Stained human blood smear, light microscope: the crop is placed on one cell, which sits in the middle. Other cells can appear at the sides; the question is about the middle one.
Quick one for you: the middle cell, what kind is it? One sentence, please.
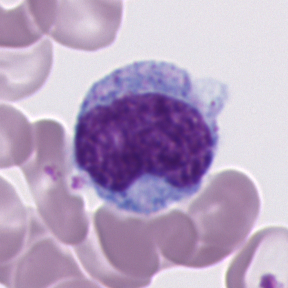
The cell at the centre of the field is a monocyte.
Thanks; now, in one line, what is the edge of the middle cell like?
Instead of a smooth edge, this cell has an irregular one, ragged or with projections.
